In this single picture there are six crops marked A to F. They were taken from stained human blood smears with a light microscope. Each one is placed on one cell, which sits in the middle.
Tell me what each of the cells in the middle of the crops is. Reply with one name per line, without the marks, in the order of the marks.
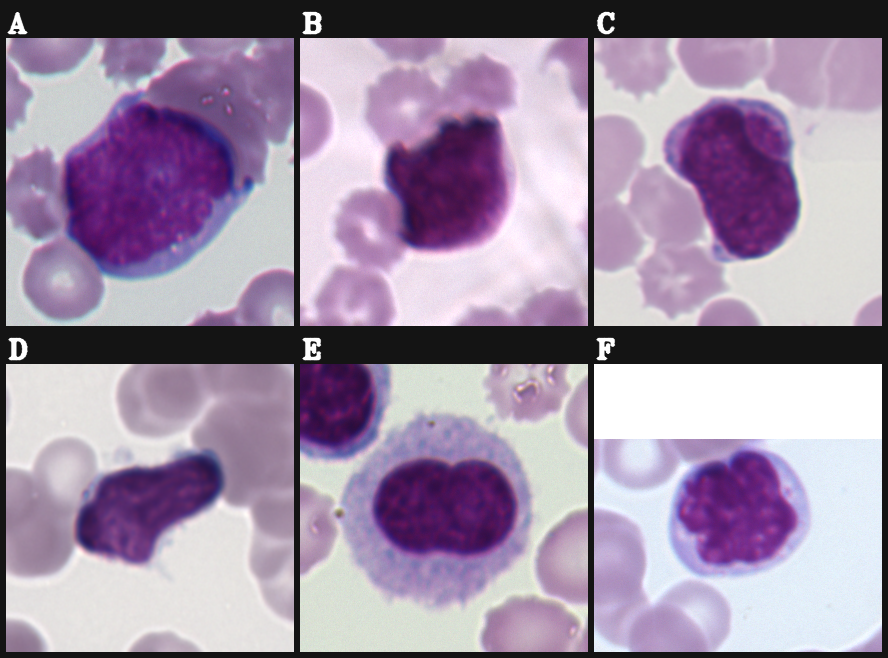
myeloblast
myeloblast
myeloblast
large granular lymphocyte
hairy cell
large granular lymphocyte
